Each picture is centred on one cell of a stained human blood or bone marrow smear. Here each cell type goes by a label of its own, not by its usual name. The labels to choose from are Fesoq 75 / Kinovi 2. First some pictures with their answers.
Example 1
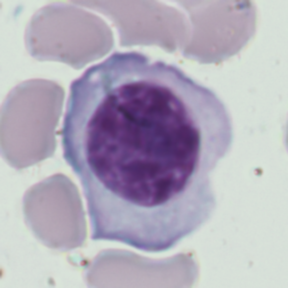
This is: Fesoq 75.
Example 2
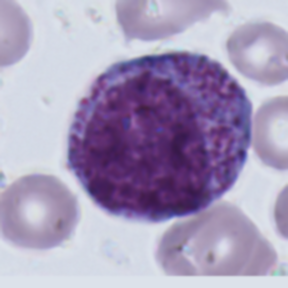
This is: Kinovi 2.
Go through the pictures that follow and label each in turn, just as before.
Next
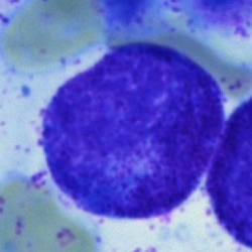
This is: Kinovi 2.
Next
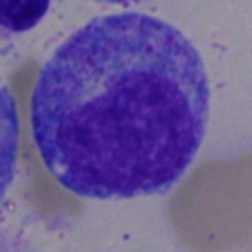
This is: Kinovi 2.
